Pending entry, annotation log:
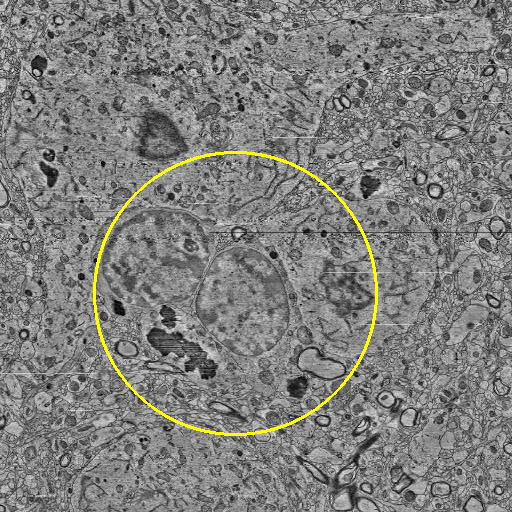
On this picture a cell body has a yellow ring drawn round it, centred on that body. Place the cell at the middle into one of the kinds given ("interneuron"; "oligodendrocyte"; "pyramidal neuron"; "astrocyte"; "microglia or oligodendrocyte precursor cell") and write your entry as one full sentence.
The cell body at the middle of the yellow ring belongs to an oligodendrocyte.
